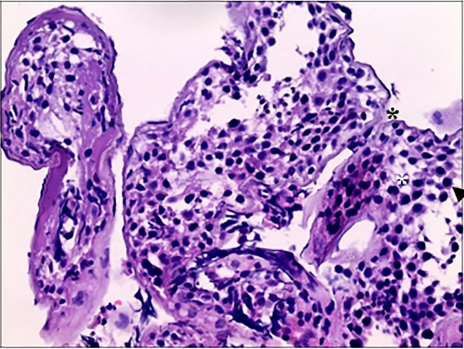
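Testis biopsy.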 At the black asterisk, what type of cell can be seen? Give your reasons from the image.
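The black asterisk lies at the outer edge of a tubule, by its wall. The cells there sit in the basal layer of the epithelium. That points to this answer: spermatogonia.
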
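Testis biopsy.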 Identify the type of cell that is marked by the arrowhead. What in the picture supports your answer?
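Round spermatids. The arrowhead points at small cells with small round nuclei. These cells are packed in the epithelium of the tubule.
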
